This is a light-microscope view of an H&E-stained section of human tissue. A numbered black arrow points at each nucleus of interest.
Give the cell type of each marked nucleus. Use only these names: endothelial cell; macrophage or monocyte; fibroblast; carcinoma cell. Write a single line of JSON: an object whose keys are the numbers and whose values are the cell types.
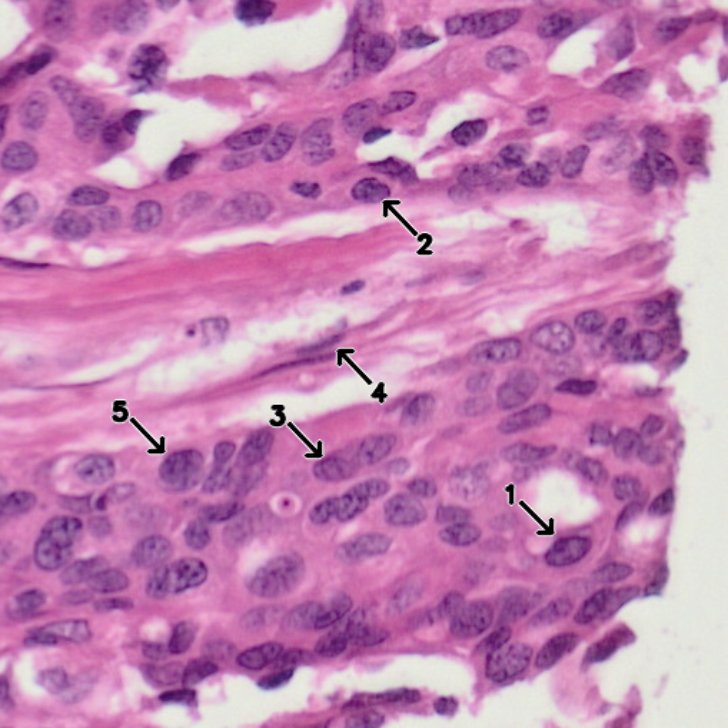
{"1": "carcinoma cell", "2": "macrophage or monocyte", "3": "carcinoma cell", "4": "fibroblast", "5": "carcinoma cell"}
